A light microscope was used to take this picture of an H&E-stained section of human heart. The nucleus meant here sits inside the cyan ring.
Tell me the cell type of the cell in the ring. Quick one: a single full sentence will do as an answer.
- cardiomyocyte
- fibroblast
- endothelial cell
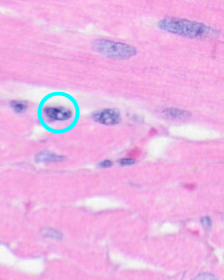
It is as a fibroblast that the cell in the ring is recorded.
